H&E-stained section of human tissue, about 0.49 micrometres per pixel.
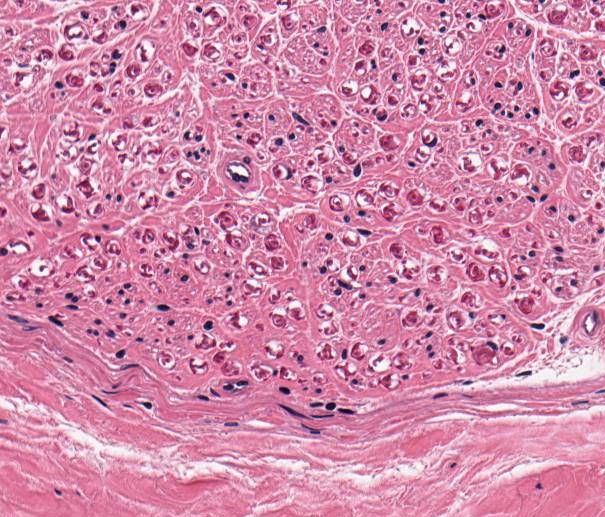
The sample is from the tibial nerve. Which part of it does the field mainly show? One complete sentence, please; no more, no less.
This section of human tissue shows the part called nerve fascicle.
